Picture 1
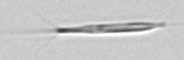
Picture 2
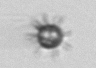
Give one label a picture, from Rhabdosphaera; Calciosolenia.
1. Calciosolenia
2. Rhabdosphaera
